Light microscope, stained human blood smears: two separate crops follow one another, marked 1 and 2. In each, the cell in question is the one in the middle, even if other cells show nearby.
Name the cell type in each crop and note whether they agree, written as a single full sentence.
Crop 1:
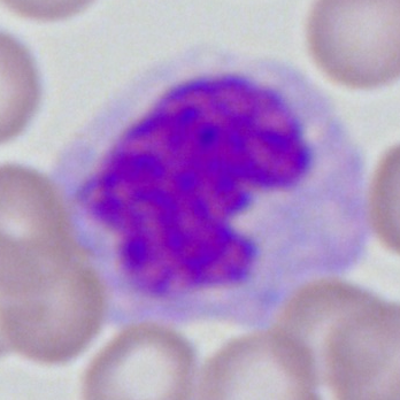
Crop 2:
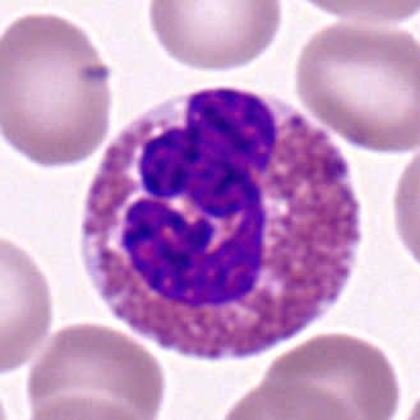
No, in crop 1 the cell is a monocyte, and in crop 2 it is an eosinophil.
